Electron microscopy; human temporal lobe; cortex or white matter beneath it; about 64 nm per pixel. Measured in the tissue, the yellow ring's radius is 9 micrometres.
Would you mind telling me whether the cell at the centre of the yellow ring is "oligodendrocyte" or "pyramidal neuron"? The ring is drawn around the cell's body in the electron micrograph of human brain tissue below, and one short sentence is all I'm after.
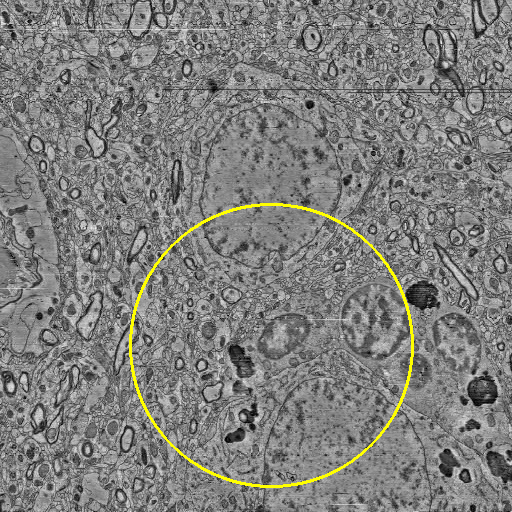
In the centre of the ring lies an oligodendrocyte.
